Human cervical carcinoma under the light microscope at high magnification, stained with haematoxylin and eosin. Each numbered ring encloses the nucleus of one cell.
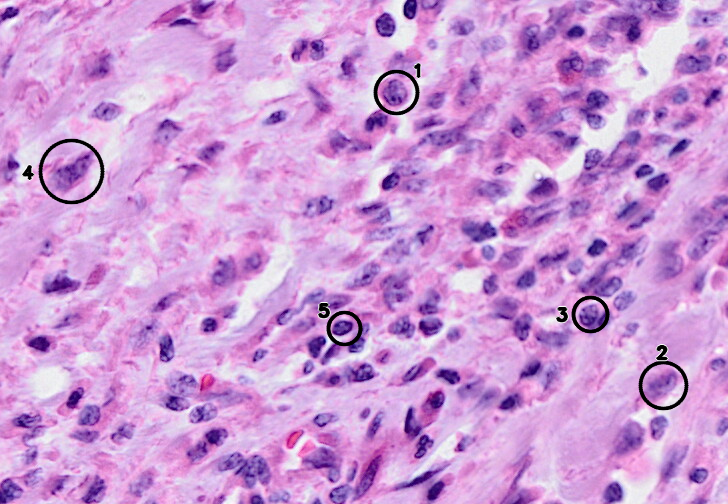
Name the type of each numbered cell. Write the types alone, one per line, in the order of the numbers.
macrophage or monocyte
macrophage or monocyte
lymphocyte
macrophage or monocyte
lymphocyte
